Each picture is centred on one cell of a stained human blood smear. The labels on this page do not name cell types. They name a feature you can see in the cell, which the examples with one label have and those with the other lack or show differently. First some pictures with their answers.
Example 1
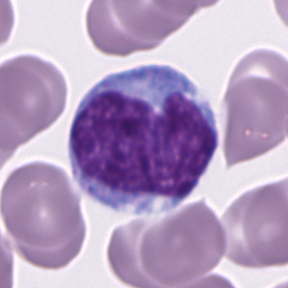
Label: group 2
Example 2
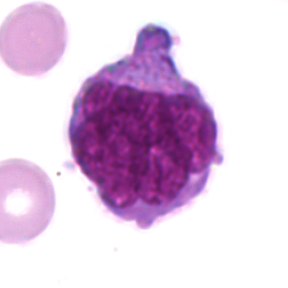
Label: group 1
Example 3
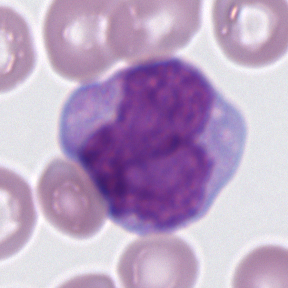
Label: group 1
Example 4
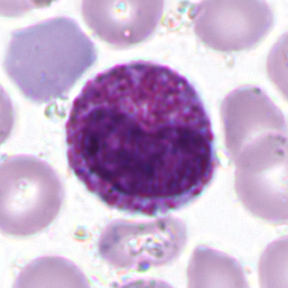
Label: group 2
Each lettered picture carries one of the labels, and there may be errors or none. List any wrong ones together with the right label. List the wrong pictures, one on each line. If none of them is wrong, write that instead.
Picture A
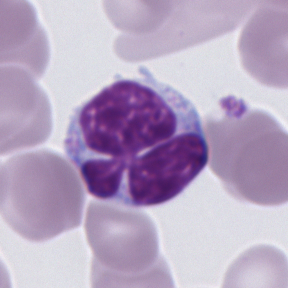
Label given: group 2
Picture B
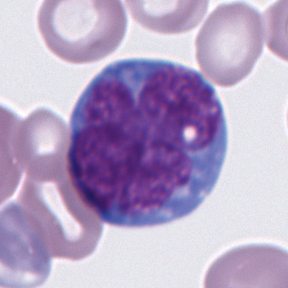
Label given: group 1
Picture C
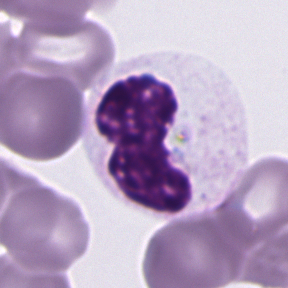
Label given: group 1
A: group 1, not group 2
C: group 2, not group 1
